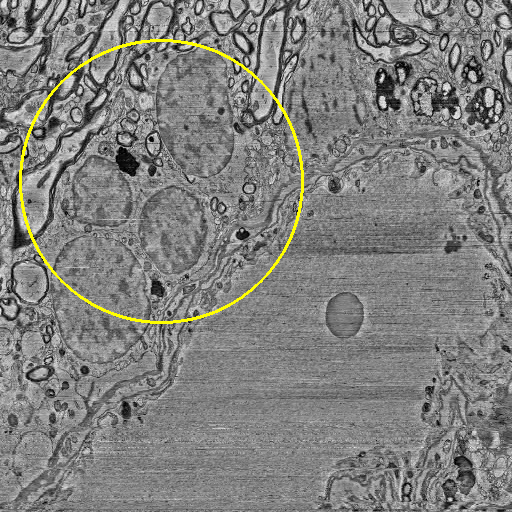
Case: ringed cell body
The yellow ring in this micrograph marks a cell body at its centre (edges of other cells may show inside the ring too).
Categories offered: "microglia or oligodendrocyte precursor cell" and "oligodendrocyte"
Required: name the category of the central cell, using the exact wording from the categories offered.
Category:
oligodendrocyte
